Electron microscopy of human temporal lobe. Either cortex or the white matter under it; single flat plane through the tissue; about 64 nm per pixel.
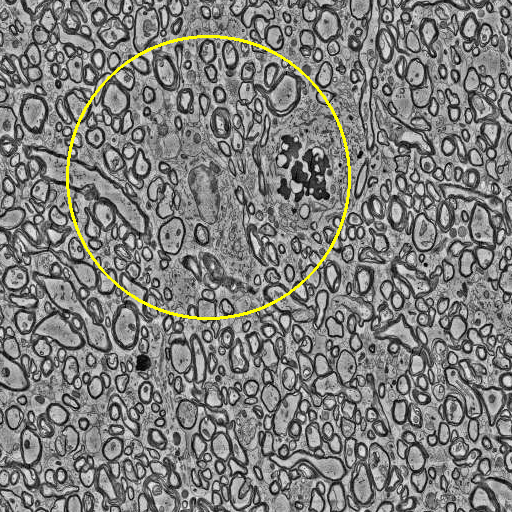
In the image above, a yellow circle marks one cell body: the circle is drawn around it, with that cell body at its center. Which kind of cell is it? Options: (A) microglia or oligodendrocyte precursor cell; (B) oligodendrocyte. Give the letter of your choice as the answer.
A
